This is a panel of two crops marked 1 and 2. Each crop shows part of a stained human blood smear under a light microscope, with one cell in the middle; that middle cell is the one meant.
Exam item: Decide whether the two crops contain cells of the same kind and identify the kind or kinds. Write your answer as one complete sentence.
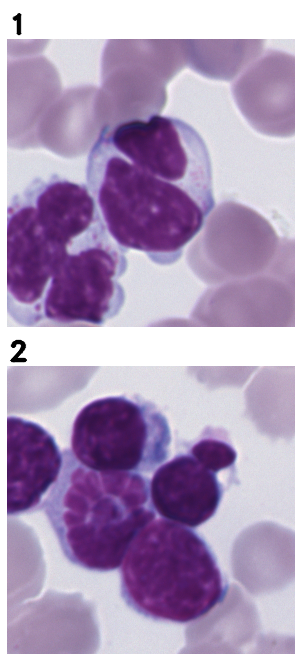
No, the cell that crop 1 shows is a large granular lymphocyte, and the one crop 2 shows is a myeloblast.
